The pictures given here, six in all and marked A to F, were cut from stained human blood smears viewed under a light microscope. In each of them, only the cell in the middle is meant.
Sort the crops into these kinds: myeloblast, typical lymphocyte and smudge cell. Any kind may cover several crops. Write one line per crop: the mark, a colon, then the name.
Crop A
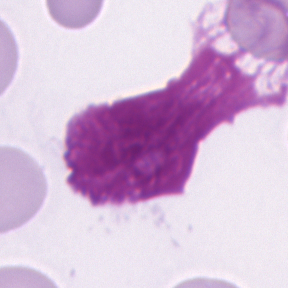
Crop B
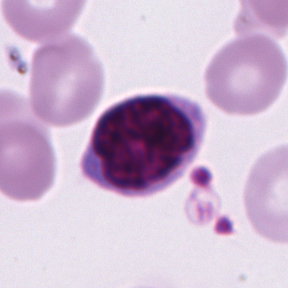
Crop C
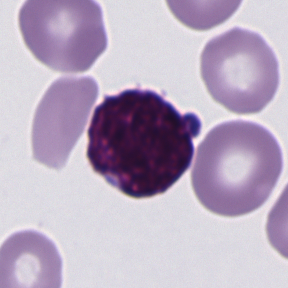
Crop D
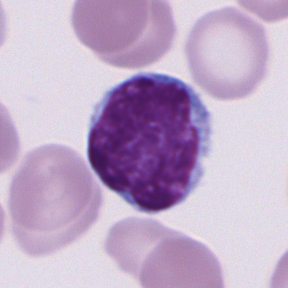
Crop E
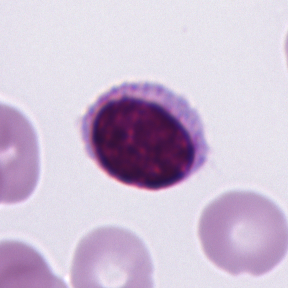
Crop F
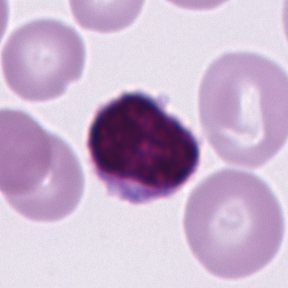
A: smudge cell
B: typical lymphocyte
C: myeloblast
D: typical lymphocyte
E: typical lymphocyte
F: typical lymphocyte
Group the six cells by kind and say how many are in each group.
typical lymphocyte: 4
smudge cell: 1
myeloblast: 1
